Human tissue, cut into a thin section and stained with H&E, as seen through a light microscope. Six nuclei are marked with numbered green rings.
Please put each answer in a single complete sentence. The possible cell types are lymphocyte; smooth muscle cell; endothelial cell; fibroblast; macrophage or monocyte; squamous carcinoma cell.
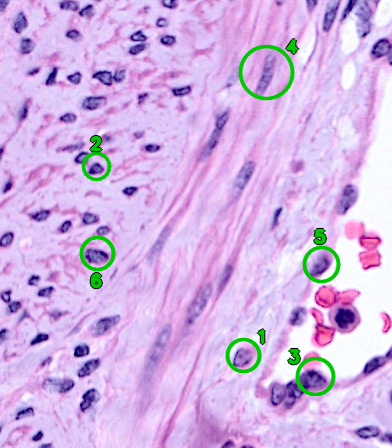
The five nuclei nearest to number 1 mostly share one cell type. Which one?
Endothelial cells account for more than half of the five nuclei nearest to number 1.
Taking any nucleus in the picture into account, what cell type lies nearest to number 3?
It is an endothelial cell whose nucleus is nearest to number 3.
